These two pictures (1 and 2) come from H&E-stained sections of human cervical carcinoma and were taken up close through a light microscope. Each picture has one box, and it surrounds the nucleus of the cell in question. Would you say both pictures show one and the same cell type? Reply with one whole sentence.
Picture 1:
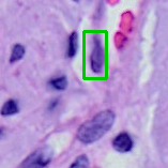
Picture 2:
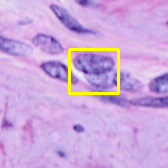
Yes, the two pictures both show endothelial cells.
